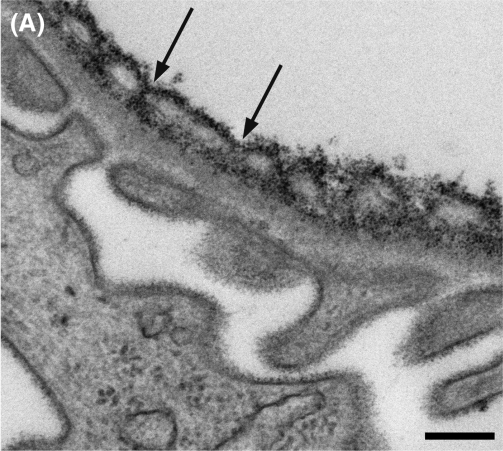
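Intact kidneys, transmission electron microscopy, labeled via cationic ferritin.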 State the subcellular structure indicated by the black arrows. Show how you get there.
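The arrows point to a very thin cell layer lining the pale lumen that is interrupted by small gaps. A dense dark granular deposit covers this thin layer and fills the gaps. On this evidence: endothelial fenestrations.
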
